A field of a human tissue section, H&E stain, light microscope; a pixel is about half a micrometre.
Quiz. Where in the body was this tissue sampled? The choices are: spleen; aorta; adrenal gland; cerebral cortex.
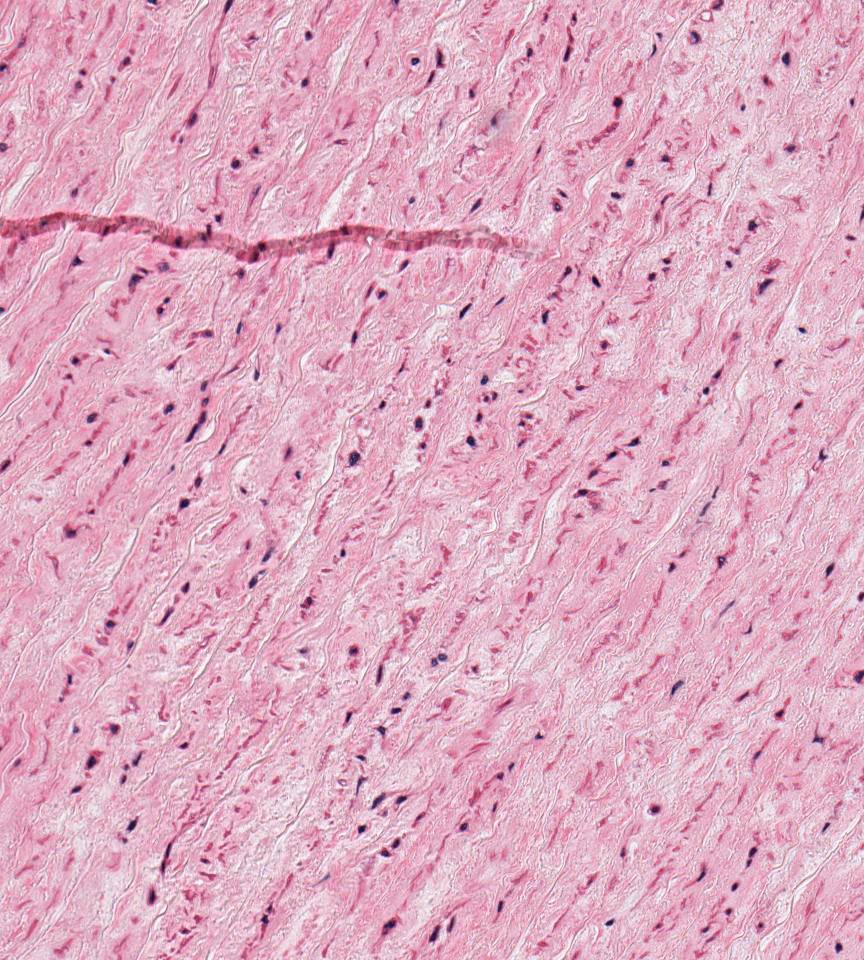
aorta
